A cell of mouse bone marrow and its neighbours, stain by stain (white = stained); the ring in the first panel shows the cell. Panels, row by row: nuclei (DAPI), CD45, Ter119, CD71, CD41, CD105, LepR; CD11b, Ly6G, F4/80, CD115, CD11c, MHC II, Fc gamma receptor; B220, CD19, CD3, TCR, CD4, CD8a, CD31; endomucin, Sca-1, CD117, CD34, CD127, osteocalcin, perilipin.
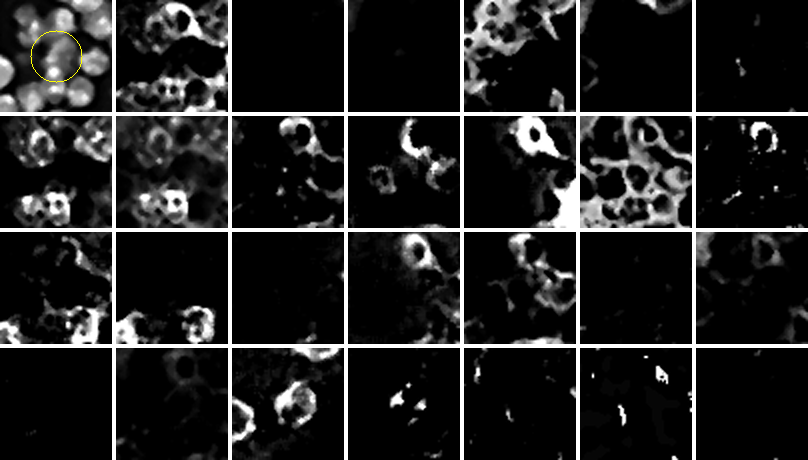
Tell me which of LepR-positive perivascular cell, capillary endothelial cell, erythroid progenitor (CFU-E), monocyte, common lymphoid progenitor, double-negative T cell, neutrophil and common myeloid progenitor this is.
The picture shows a common myeloid progenitor.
